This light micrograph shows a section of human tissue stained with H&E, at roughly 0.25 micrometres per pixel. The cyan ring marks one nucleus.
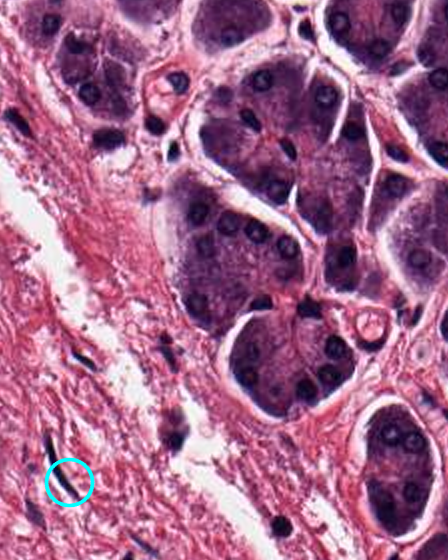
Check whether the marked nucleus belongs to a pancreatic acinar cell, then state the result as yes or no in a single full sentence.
No, a supporting cell rather than a pancreatic acinar cell is the cell of the marked nucleus.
